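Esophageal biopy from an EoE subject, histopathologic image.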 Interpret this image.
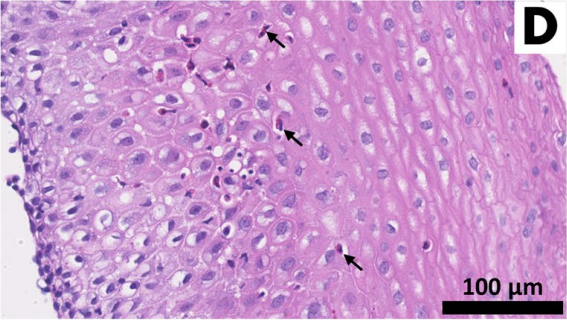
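Along the left edge the basal layer has crowded small cells with dark nuclei. The middle layers hold larger polygonal cells with round nuclei and pale or cleared cytoplasm. Toward the right the cells become flattened and elongated, with pinker cytoplasm and narrow nuclei. Scattered among the epithelial cells, mostly in the middle layers, are small cells with bright red cytoplasm and dark compact nuclei; several are marked by arrows. Small clear round spaces are also seen among the cells.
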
